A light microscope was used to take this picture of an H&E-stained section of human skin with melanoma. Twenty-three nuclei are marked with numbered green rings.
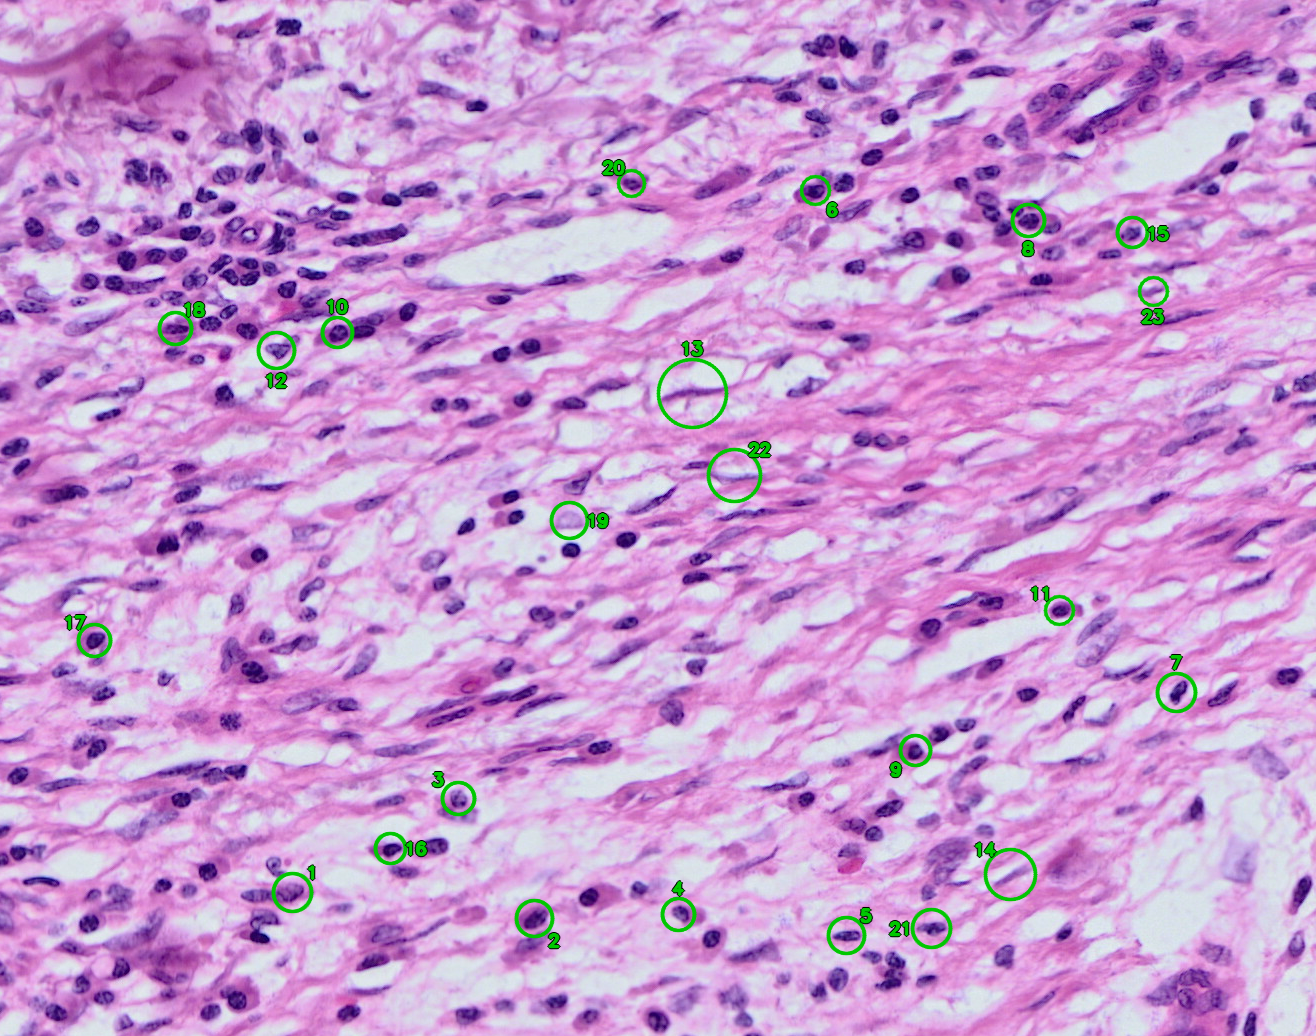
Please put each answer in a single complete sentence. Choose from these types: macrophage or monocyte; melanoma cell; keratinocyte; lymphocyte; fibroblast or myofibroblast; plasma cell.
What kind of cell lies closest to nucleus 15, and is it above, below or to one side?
Just below and to the left of nucleus 15 lies the nearest nucleus, which belongs to a plasma cell.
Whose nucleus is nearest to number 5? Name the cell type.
Closest to number 5 lies the nucleus of a lymphocyte.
